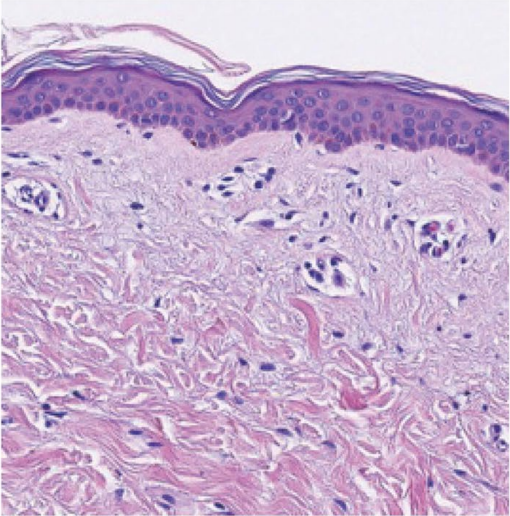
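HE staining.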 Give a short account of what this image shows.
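The epidermal cells are evenly layered without obvious damage. Small blood vessels with scattered cells around them lie in the upper dermis, and no dense inflammatory infiltrate is seen.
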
